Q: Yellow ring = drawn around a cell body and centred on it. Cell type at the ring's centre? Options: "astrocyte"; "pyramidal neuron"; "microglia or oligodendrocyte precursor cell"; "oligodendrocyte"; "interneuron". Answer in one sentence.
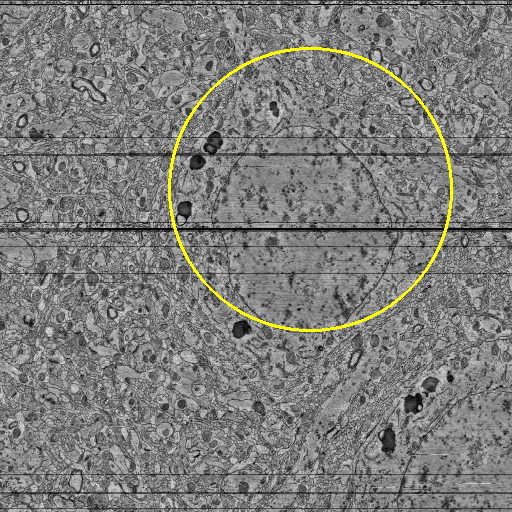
Centred in the ring is a pyramidal neuron.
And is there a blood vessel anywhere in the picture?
No.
